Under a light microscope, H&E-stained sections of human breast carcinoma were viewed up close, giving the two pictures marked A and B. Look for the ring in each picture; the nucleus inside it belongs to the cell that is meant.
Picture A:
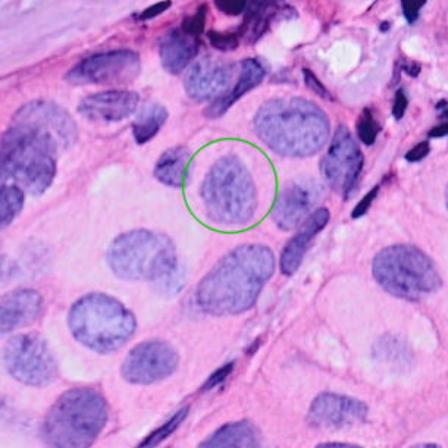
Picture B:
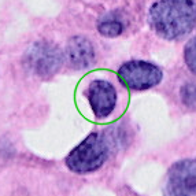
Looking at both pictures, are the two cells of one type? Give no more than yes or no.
yes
